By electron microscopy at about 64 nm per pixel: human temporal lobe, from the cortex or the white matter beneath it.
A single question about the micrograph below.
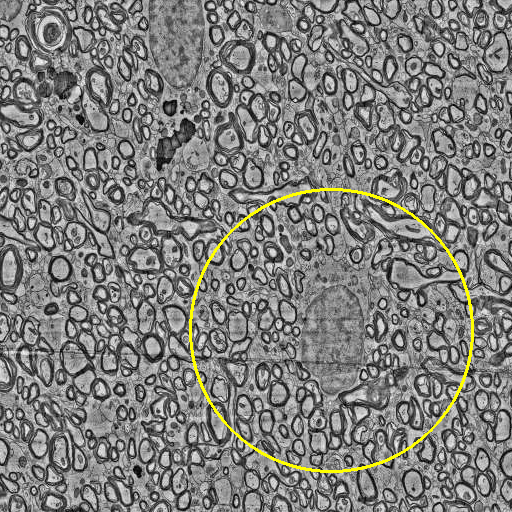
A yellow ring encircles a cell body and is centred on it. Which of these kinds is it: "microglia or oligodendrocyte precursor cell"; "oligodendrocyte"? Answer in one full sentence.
The cell body at the centre of the yellow ring belongs to an oligodendrocyte.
